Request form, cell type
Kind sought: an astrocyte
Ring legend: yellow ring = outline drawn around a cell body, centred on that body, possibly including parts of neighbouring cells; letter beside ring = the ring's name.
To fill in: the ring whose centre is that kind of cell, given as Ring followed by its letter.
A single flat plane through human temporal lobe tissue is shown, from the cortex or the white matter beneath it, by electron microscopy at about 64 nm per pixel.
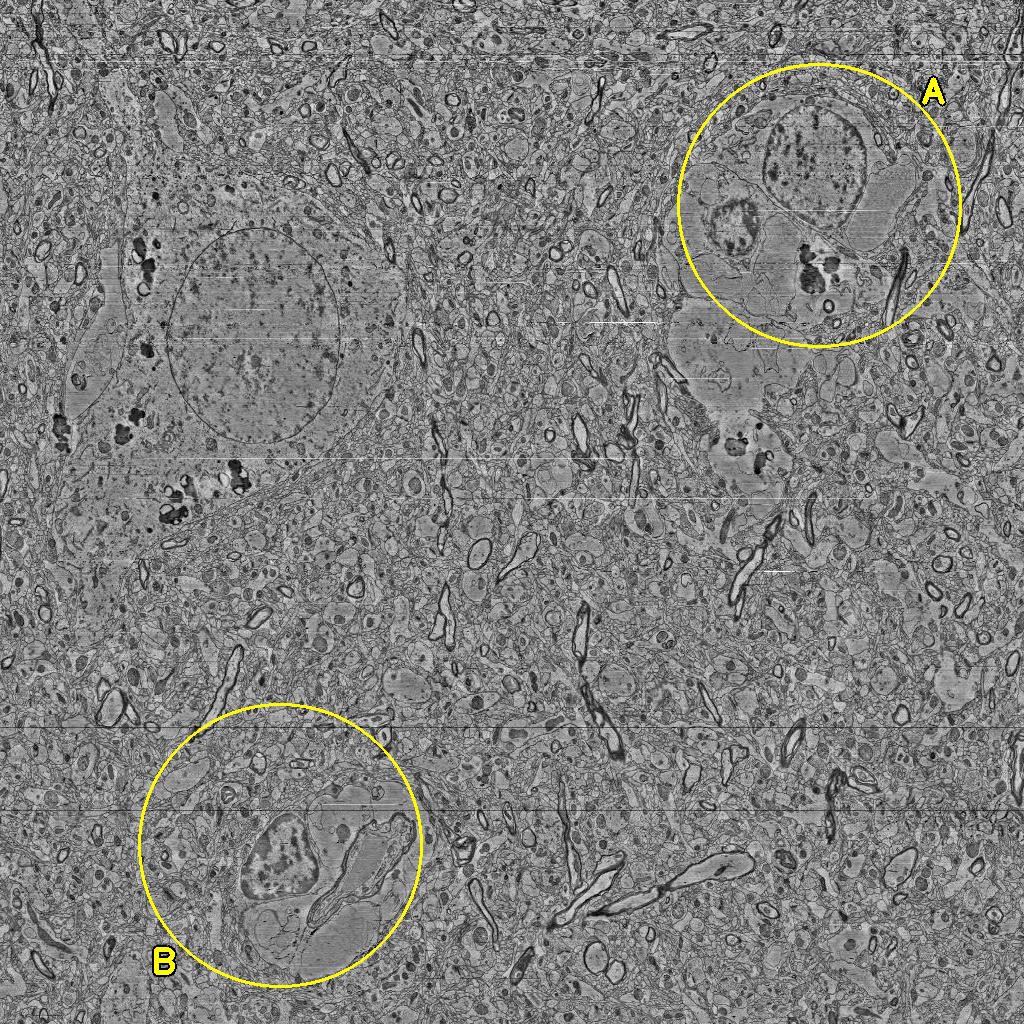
Ring A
